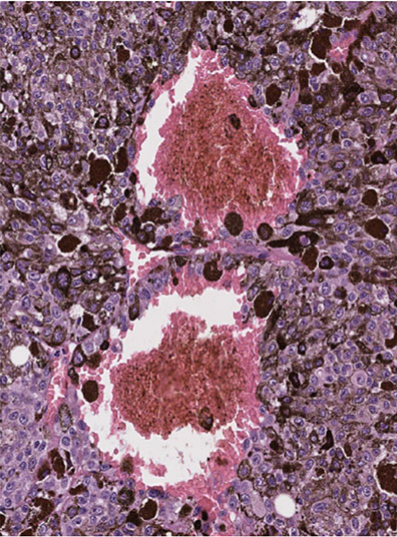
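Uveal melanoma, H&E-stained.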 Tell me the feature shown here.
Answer: Vascular lake.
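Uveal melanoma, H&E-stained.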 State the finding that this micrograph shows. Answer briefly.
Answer: Lacking endothelial lining.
